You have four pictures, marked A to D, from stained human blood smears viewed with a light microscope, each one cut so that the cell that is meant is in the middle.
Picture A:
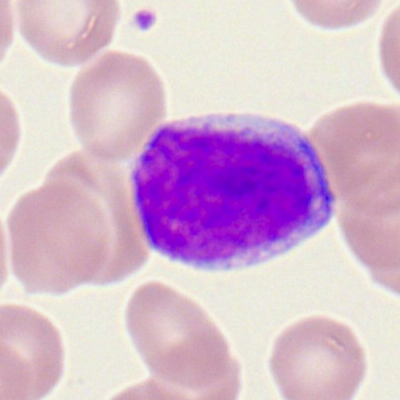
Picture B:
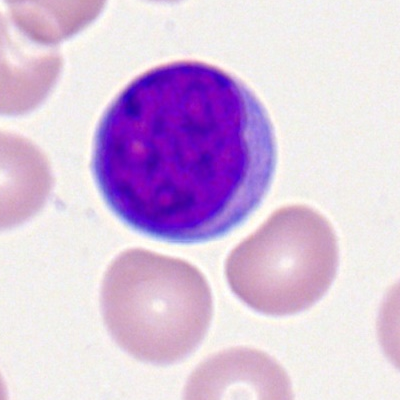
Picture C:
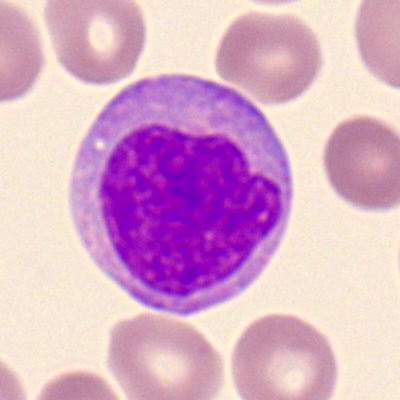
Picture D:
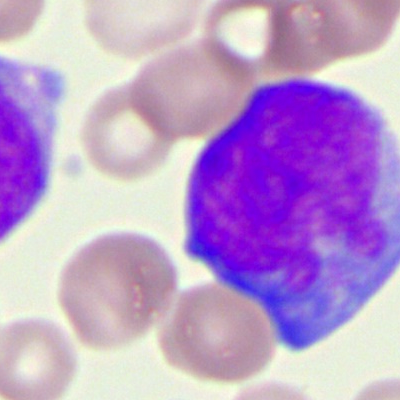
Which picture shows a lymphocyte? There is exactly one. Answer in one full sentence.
The cell in picture B is the lymphocyte.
